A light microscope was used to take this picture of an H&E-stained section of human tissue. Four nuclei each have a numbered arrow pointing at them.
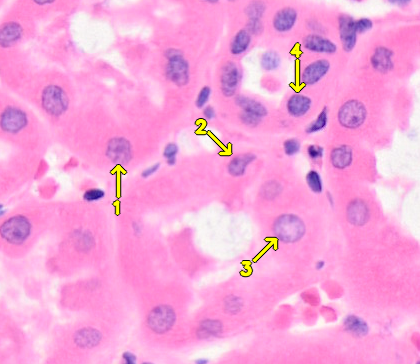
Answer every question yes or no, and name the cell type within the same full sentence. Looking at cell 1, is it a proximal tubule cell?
Yes, number 1 is assigned to a cell that is a proximal tubule cell.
